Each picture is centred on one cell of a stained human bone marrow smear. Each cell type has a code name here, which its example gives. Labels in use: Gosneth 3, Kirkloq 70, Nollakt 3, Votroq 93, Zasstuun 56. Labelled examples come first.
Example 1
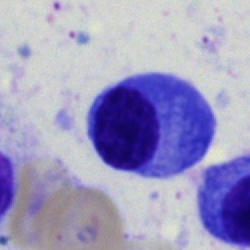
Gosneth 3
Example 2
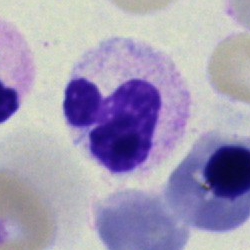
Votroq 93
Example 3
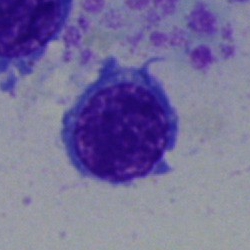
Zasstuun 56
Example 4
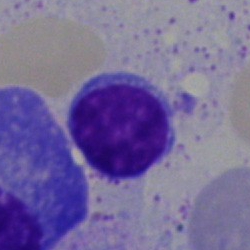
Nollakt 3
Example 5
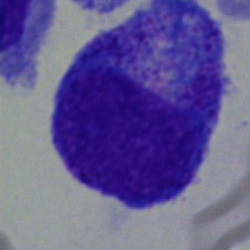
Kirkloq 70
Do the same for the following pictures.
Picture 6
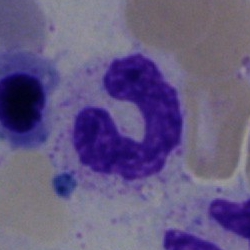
Votroq 93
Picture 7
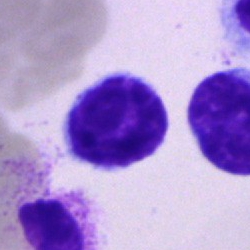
Nollakt 3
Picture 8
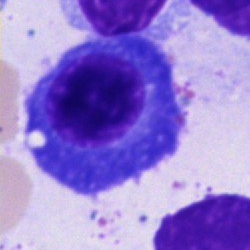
Gosneth 3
